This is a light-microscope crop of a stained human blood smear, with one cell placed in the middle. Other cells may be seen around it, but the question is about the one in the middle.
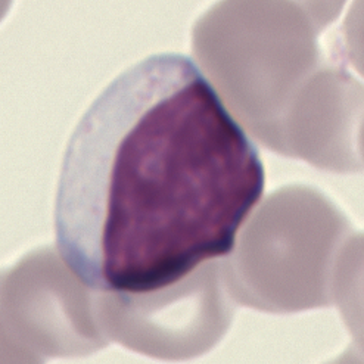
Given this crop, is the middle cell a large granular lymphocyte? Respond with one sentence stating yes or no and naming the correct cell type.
Yes, the cell at the middle is a large granular lymphocyte.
